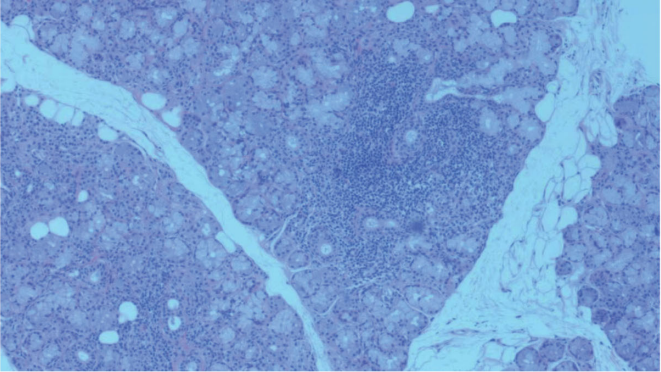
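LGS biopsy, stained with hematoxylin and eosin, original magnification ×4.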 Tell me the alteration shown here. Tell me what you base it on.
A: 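One focus. A dense, dark blue aggregate of small round nuclei sits in the middle of a gland lobule. The surrounding lobule consists of pale glandular acini. Lobules are separated by fibrous septa with fat cells.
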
